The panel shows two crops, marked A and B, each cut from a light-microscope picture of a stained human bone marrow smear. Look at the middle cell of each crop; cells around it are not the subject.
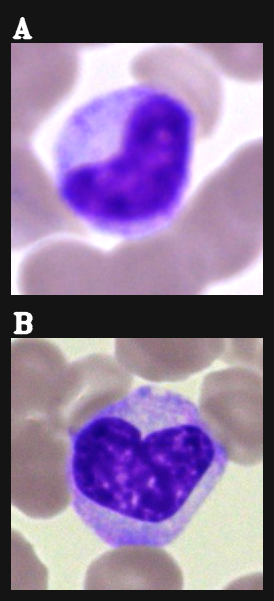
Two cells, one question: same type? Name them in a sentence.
Yes, the centre cells of both crops are metamyelocytes.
